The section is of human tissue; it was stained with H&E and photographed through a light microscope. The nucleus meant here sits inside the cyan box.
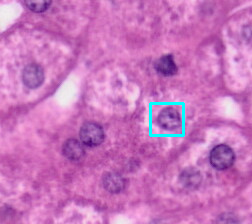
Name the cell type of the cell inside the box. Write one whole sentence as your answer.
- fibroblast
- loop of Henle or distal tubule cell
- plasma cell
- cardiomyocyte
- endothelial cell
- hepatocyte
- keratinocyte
The cell type represented by the cell inside the box is that of a hepatocyte.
